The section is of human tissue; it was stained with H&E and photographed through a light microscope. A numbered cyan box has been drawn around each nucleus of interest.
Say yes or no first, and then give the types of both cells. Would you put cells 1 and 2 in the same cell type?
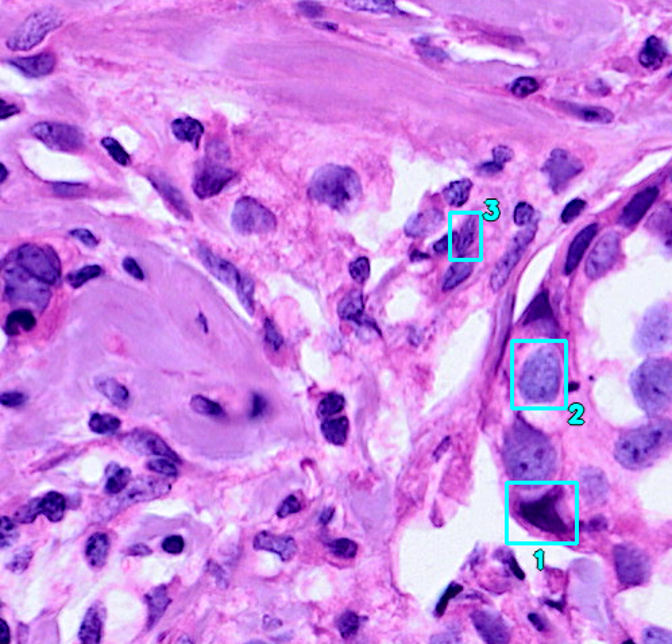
Yes, both are carcinoma cells.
